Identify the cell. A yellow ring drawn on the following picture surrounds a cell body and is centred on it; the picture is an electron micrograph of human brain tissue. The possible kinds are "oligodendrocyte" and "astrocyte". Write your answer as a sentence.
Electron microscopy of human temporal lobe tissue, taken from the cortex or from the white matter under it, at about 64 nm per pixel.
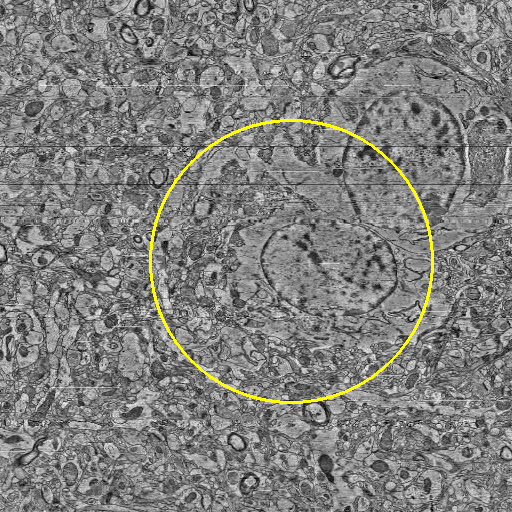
The cell identified by the ring is an astrocyte.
